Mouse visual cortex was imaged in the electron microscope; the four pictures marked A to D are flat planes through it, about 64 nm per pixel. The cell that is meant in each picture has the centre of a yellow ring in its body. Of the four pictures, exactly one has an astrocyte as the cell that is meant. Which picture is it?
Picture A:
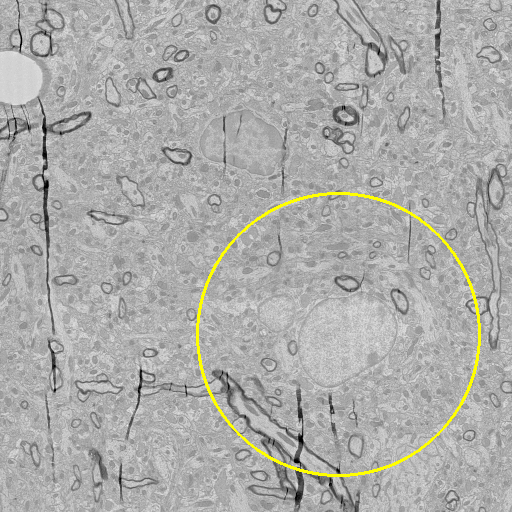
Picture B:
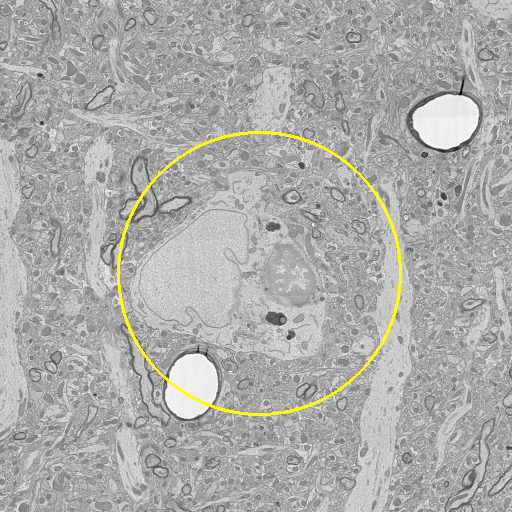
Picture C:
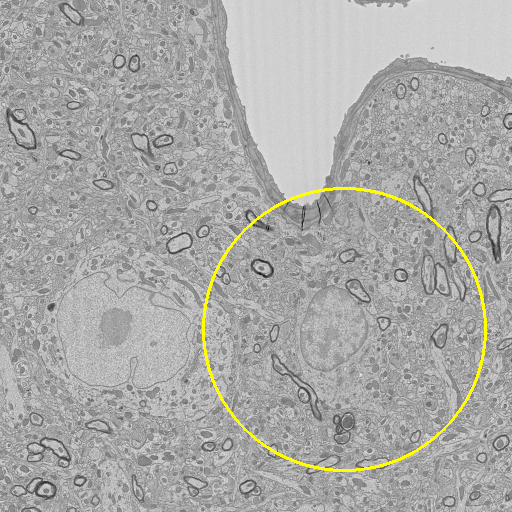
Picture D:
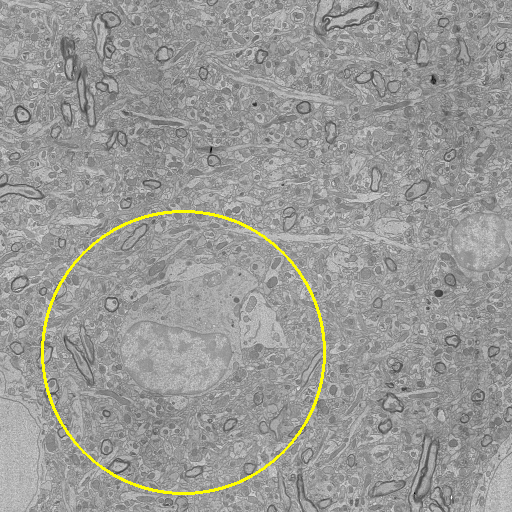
Picture A is the one that shows the astrocyte.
